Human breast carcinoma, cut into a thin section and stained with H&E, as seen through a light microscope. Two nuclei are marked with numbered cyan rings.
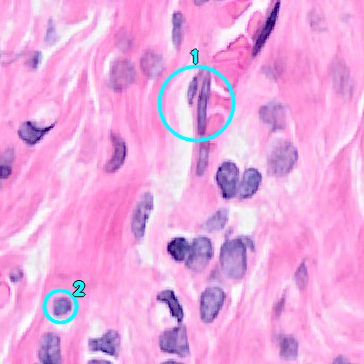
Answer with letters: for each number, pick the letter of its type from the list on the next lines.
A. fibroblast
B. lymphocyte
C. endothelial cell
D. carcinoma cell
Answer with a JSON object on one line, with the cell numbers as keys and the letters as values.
{"1": "C", "2": "B"}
